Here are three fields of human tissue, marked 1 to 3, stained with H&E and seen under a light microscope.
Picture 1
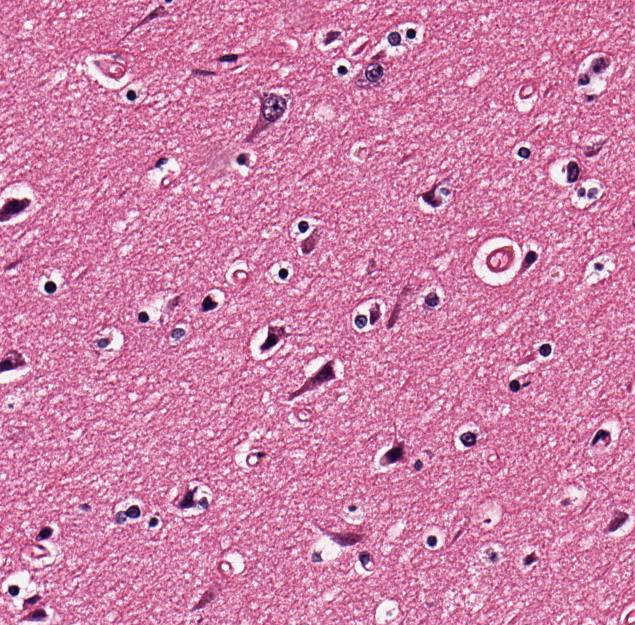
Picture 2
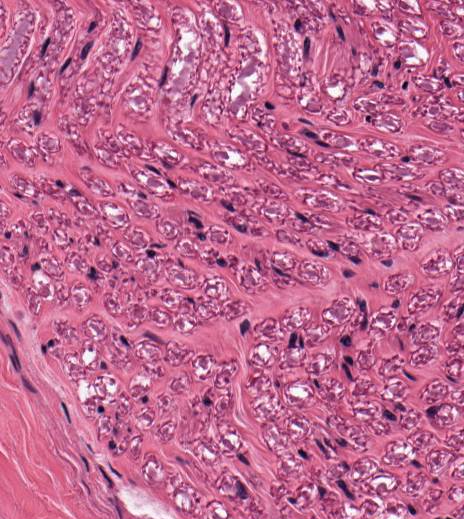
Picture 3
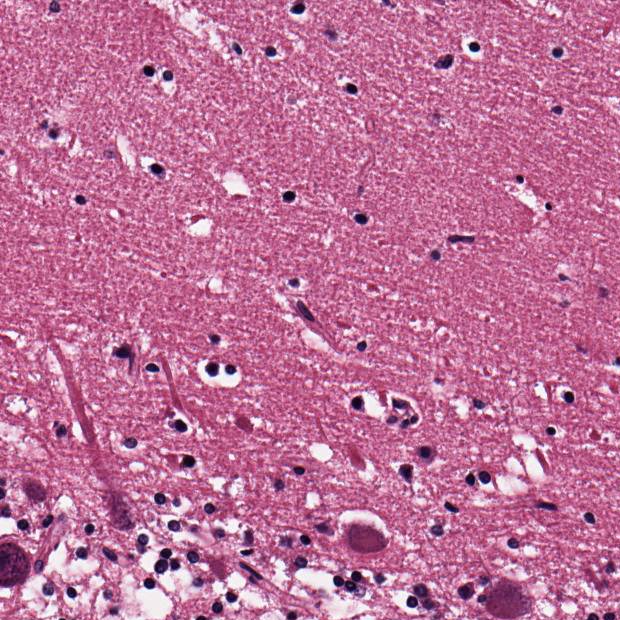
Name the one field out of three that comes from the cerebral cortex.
1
